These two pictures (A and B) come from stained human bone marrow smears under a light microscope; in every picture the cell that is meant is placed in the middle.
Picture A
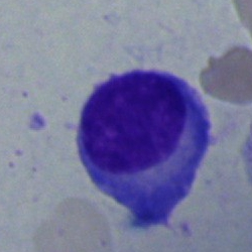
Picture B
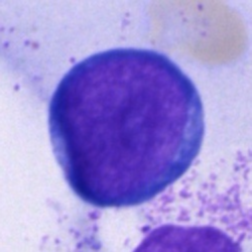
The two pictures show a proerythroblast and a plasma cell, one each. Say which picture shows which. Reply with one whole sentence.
In picture A the cell is a plasma cell; in picture B, a proerythroblast.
